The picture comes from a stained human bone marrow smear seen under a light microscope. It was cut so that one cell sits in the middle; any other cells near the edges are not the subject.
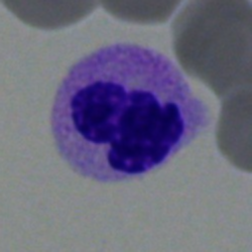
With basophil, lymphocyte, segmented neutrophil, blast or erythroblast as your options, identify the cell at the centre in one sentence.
The cell at the centre of the field is a segmented neutrophil.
